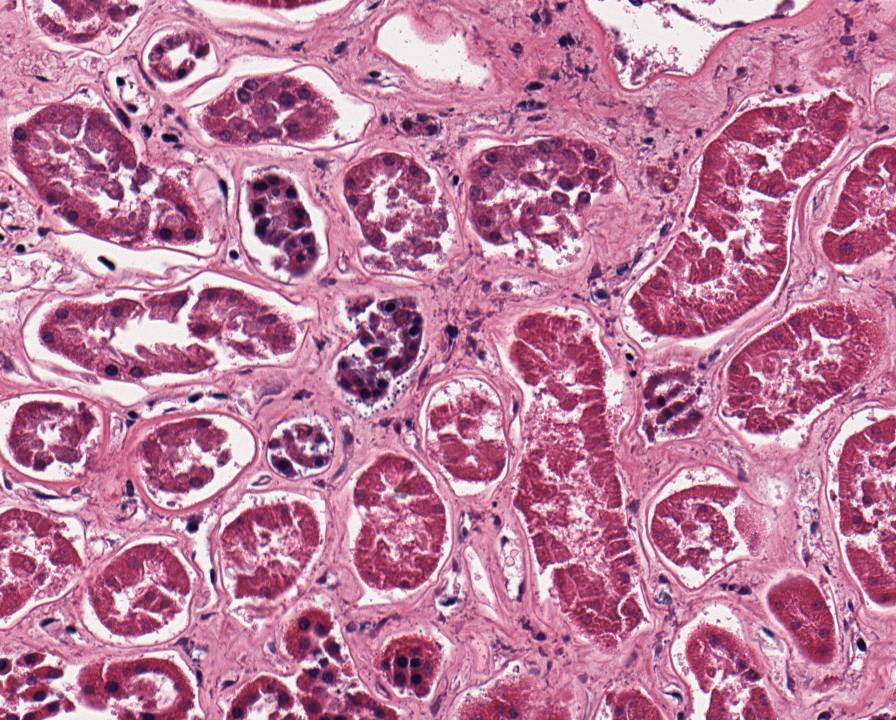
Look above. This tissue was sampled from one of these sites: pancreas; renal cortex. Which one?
renal cortex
